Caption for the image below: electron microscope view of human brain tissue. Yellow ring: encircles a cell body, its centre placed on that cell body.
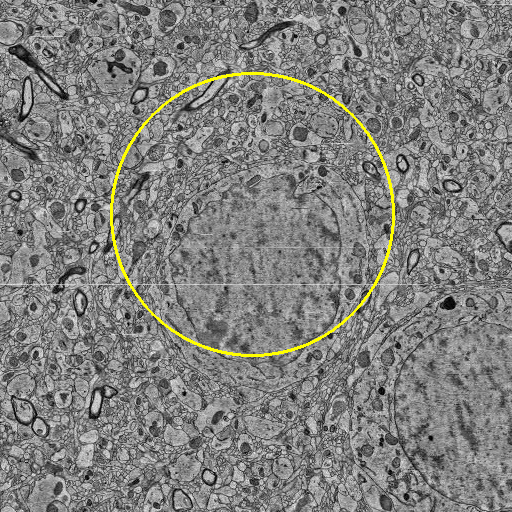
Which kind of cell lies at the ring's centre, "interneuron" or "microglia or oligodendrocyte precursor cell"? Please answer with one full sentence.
The picture shows an interneuron at the centre of the yellow ring.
